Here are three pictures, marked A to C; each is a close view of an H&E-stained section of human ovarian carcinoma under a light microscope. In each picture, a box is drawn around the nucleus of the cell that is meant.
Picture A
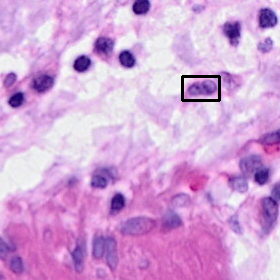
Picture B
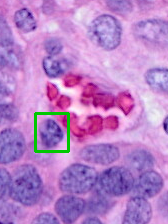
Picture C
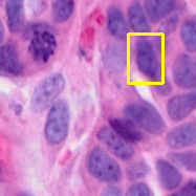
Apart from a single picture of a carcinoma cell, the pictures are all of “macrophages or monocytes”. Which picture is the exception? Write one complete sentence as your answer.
The cell in picture C is the carcinoma cell.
